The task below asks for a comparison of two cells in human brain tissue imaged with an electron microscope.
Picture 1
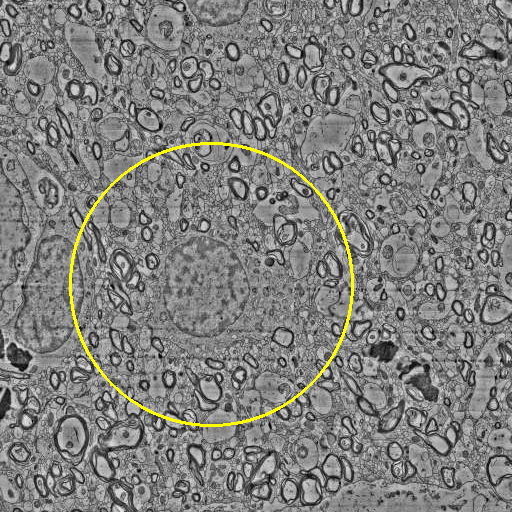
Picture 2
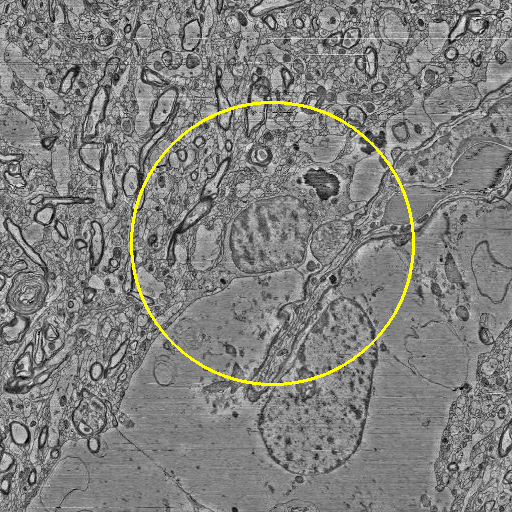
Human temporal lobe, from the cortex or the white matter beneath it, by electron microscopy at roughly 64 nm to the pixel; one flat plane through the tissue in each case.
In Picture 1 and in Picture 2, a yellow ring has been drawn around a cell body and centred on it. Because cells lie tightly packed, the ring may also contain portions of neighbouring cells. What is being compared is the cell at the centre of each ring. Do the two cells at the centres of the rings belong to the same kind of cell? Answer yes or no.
yes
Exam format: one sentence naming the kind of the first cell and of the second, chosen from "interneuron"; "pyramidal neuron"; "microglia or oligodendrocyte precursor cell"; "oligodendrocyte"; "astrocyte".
Each of the ringed cells, first and second, is an oligodendrocyte.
